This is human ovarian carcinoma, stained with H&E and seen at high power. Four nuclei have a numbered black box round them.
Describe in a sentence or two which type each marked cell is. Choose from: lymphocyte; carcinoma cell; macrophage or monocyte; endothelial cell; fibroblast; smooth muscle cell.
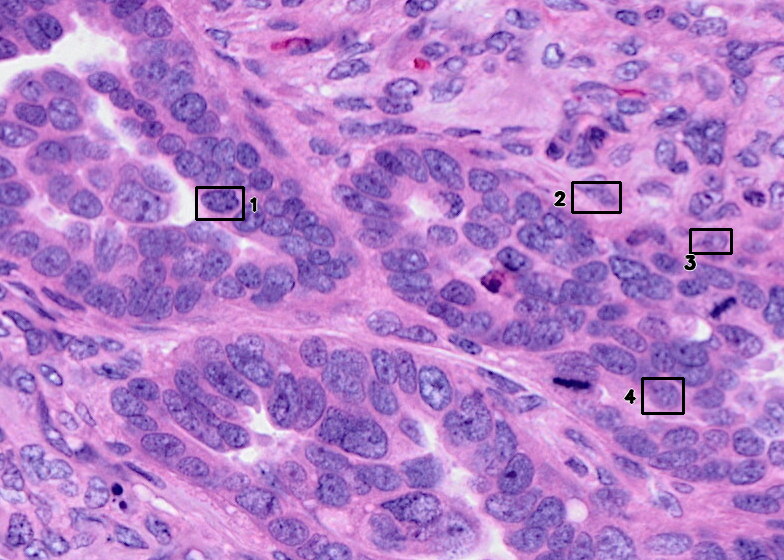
Cell 1 is a carcinoma cell, cell 2 is a fibroblast, cell 3 is a fibroblast and cell 4 is a carcinoma cell.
